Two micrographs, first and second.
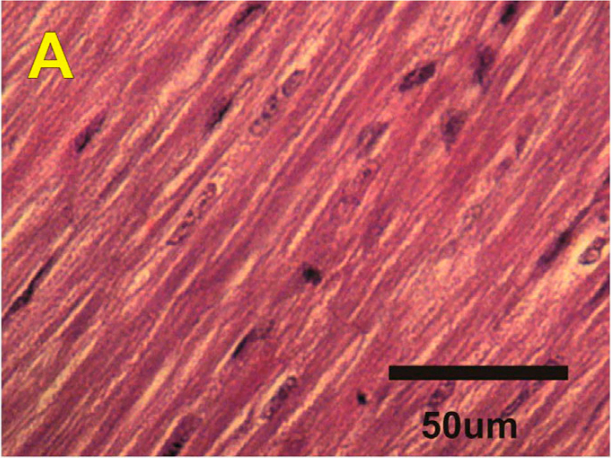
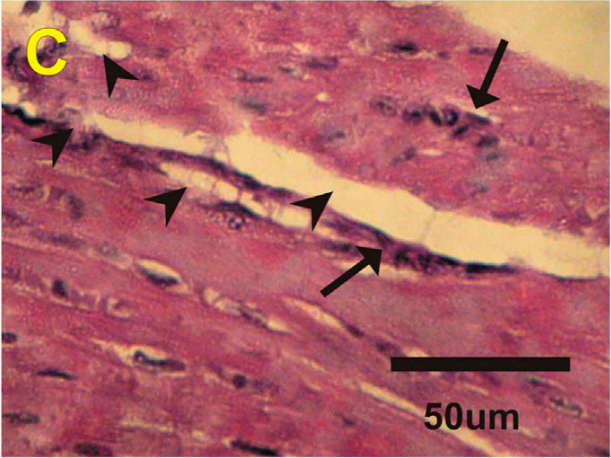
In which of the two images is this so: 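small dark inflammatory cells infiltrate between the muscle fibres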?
The second image.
